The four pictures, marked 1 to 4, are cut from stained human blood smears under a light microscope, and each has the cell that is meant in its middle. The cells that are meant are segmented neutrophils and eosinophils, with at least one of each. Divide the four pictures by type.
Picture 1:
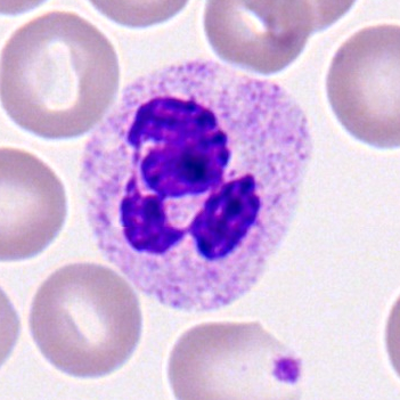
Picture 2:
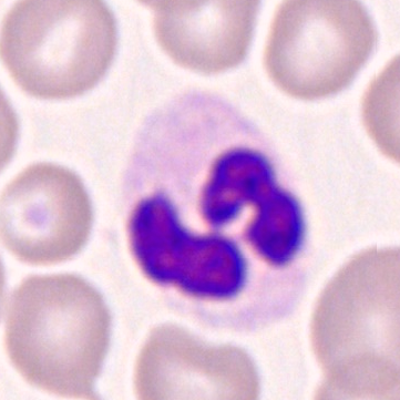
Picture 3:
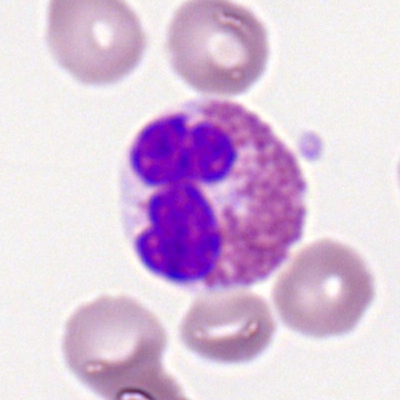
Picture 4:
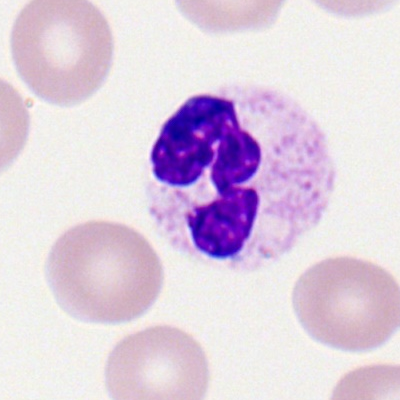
1: segmented neutrophil
2: segmented neutrophil
3: eosinophil
4: segmented neutrophil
